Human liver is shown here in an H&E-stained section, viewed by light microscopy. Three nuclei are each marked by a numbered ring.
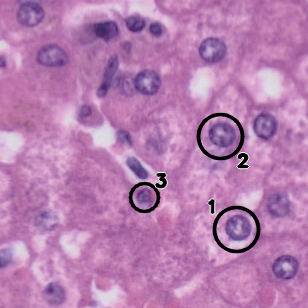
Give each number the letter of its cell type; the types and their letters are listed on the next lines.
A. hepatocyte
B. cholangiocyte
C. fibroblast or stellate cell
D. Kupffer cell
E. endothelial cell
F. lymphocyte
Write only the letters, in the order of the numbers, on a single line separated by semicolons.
A; A; D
